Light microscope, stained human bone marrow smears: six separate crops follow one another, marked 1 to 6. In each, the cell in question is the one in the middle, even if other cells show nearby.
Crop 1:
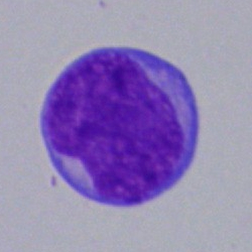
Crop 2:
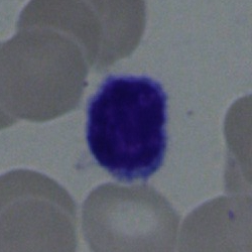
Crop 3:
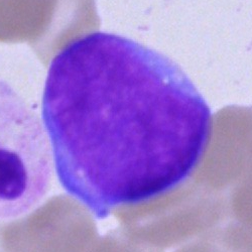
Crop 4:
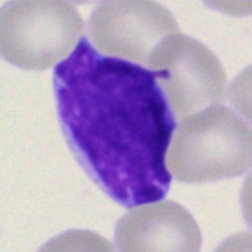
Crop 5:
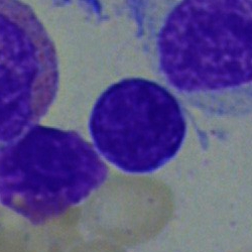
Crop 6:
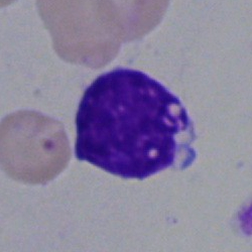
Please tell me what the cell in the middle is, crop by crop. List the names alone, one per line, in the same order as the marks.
blast
lymphocyte
blast
blast
lymphocyte
lymphocyte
